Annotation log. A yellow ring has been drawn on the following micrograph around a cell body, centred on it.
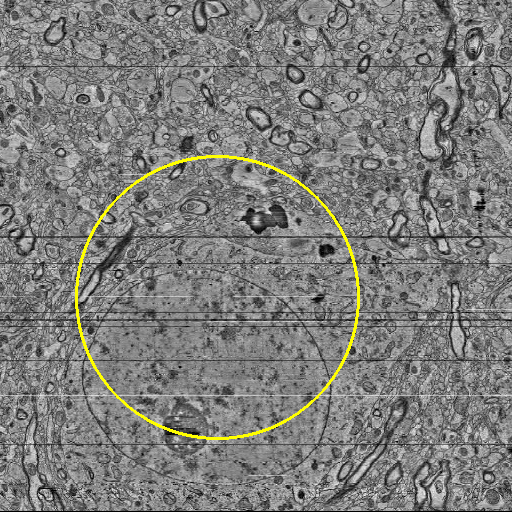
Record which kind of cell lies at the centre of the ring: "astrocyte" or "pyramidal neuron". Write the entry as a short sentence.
The cell the ring is centred on is a pyramidal neuron.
